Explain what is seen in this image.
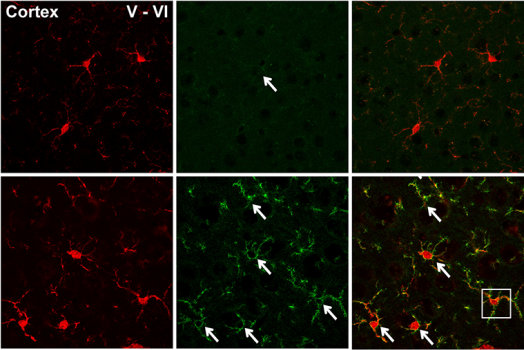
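The microglia appear as scattered red cells with small, irregular cell bodies from which several thin, branching processes radiate. In the lower row the green label is strong and traces fine, beaded processes that overlap the red processes, giving yellow in the merged image. In the upper row the green label is faint and diffuse.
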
